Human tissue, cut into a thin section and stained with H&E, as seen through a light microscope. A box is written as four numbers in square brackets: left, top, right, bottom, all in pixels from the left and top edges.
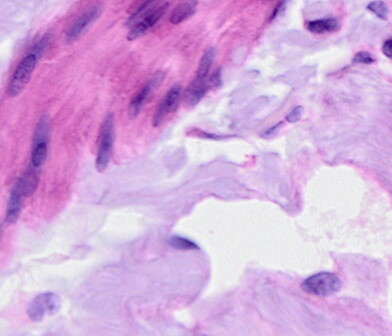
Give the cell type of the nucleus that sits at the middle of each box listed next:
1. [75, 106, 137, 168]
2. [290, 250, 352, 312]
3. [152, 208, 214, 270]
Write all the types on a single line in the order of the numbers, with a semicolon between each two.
smooth muscle cell; endothelial cell; endothelial cell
